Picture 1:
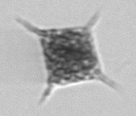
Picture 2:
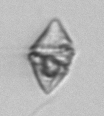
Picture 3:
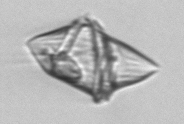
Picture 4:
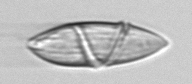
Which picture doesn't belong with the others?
Picture 1.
